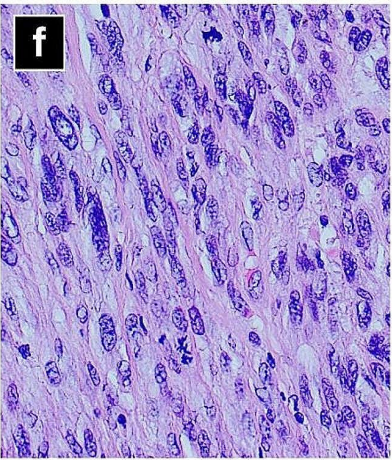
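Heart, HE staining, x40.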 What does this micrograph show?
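Tumour cells at high power, spindle-shaped and pleomorphic, lie in loosely parallel arrays within a pale pink fibrillary stroma. Their nuclei are oval to elongated, vary considerably in size and shape, and have coarse purple chromatin, with a few markedly enlarged, dark nuclei.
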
